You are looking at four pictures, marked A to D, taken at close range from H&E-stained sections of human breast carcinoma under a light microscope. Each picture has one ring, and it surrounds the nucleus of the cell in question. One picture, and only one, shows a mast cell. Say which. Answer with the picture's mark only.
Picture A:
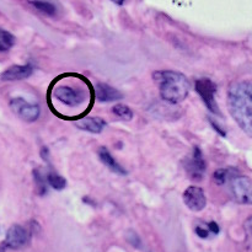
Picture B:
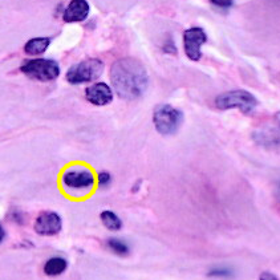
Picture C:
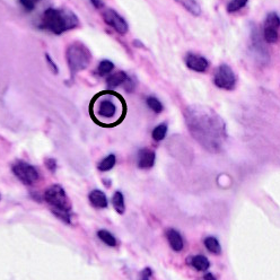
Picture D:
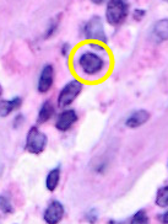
A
